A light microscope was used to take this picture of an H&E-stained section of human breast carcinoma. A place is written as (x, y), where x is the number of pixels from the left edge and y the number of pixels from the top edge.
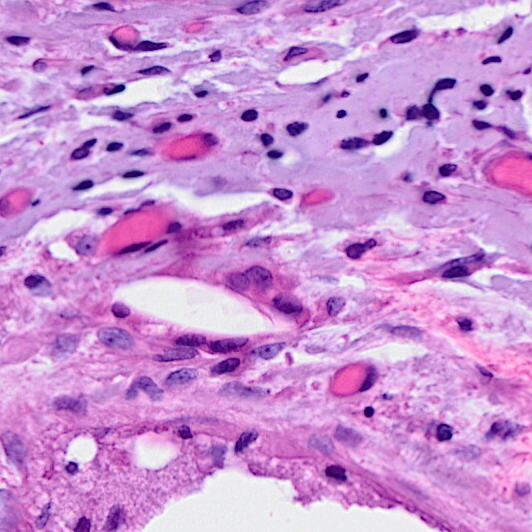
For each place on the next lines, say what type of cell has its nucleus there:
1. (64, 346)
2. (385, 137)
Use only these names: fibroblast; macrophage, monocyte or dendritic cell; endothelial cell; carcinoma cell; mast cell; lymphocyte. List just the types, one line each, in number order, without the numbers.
fibroblast
lymphocyte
